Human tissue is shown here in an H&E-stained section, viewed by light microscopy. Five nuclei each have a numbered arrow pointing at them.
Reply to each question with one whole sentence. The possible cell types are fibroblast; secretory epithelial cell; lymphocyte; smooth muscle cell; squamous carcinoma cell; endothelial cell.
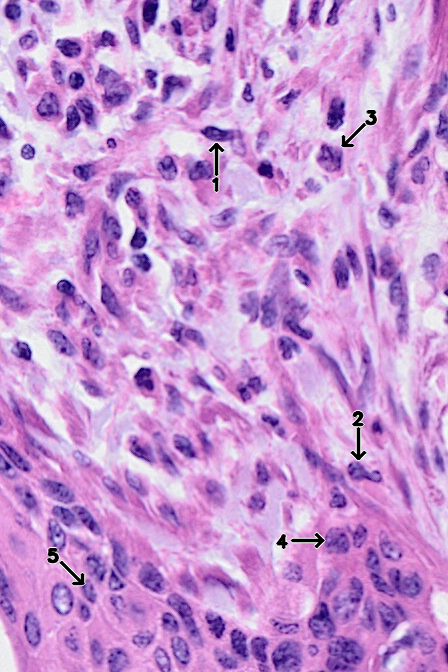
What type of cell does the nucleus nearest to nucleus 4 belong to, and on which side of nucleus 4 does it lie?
The nearest one is a squamous carcinoma cell, found to the right of nucleus 4.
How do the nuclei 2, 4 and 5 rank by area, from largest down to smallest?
By area, largest first, they run 4, 2, 5.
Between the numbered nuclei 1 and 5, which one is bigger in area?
It is nucleus 1, which covers about 2 times the area of nucleus 5.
